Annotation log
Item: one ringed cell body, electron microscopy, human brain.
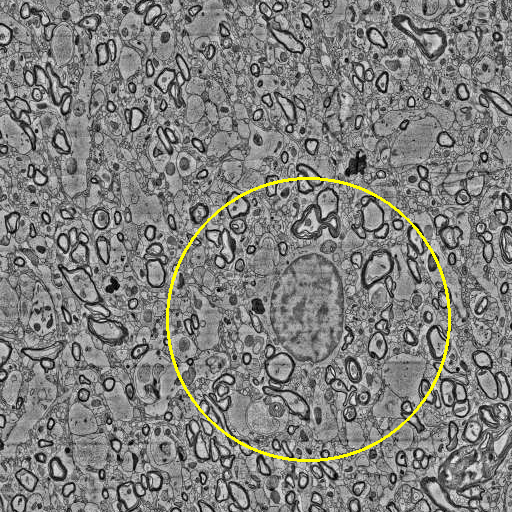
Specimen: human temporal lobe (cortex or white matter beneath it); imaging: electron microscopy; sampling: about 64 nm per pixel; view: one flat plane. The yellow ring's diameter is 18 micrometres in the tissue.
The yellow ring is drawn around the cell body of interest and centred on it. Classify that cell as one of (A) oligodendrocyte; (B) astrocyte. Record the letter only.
A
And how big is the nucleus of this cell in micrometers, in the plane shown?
The nucleus works out at approximately 7 by 5 micrometres in this plane.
